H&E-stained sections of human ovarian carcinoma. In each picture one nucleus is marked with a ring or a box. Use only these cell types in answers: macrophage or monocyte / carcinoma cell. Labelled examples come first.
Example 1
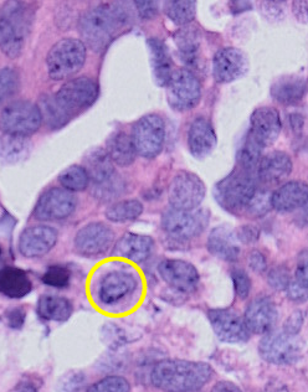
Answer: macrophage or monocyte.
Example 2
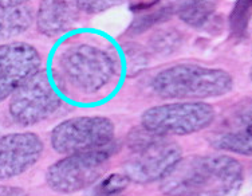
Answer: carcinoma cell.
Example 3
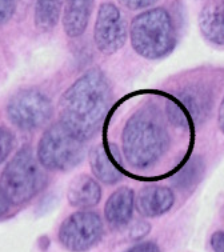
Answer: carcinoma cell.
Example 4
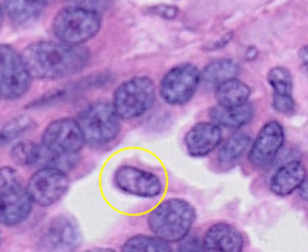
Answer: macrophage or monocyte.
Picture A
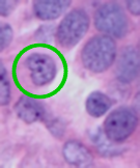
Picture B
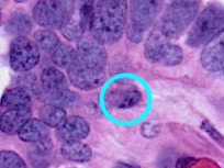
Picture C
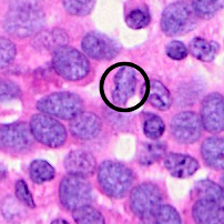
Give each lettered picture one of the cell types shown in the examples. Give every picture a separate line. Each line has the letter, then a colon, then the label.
A: macrophage or monocyte.
B: macrophage or monocyte.
C: macrophage or monocyte.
